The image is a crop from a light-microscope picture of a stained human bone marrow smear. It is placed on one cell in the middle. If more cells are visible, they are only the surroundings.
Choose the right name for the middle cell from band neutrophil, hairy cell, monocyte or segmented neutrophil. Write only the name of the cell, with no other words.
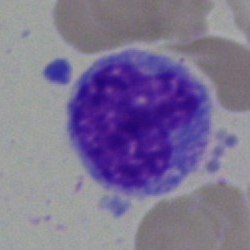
monocyte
